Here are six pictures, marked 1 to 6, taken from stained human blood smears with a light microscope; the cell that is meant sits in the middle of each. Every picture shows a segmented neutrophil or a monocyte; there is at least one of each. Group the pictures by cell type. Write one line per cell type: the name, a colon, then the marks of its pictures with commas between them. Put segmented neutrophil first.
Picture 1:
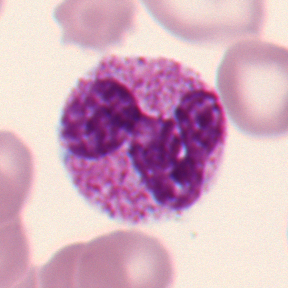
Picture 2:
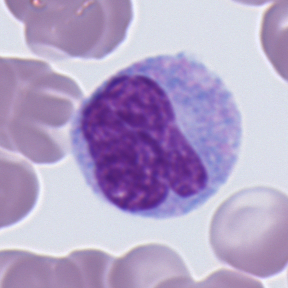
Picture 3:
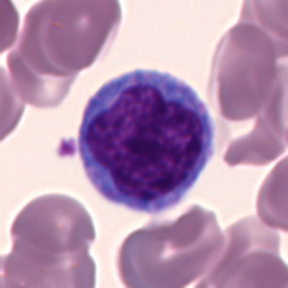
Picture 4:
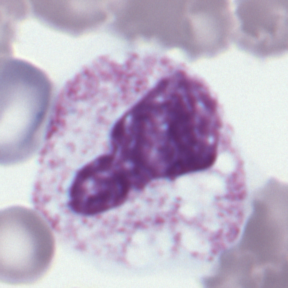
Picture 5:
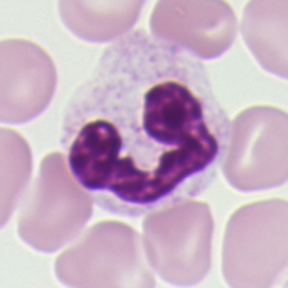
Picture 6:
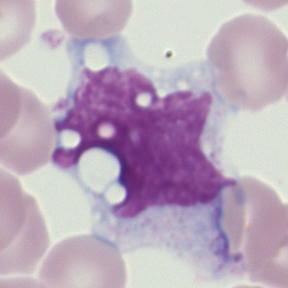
segmented neutrophil: 1, 4, 5
monocyte: 2, 3, 6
